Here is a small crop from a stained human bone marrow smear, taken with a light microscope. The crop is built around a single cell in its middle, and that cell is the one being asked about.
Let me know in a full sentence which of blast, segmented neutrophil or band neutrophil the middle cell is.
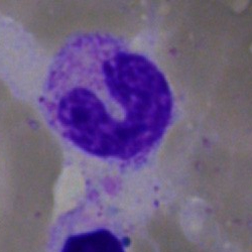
Where the crop is centred, there is a band neutrophil.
